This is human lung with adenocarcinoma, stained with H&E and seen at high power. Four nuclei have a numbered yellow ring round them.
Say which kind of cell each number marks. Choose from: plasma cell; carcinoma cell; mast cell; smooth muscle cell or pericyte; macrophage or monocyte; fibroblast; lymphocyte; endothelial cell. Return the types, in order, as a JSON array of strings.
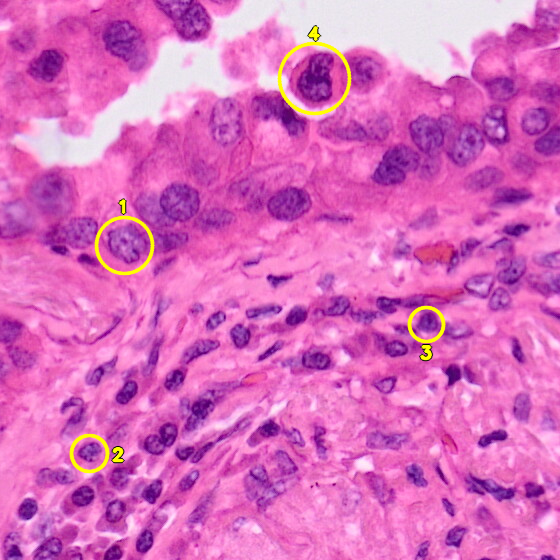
["carcinoma cell", "mast cell", "lymphocyte", "carcinoma cell"]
